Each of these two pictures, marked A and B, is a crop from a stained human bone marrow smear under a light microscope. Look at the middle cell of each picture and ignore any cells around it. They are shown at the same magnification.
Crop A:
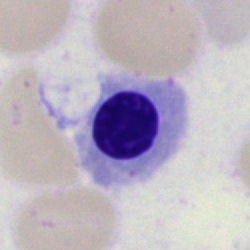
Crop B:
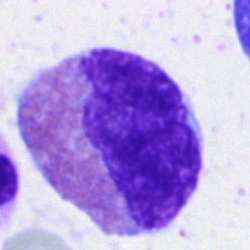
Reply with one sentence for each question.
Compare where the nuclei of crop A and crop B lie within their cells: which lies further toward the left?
In crop A the nucleus is shifted more toward the left.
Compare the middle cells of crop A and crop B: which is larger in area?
Crop B holds the larger cell; it covers about 2.5 times the area of the cell in crop A.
